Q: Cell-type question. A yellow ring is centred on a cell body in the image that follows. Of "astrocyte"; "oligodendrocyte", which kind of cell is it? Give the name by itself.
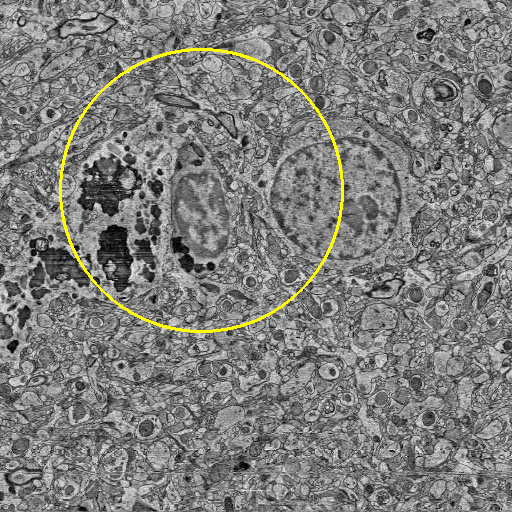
oligodendrocyte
